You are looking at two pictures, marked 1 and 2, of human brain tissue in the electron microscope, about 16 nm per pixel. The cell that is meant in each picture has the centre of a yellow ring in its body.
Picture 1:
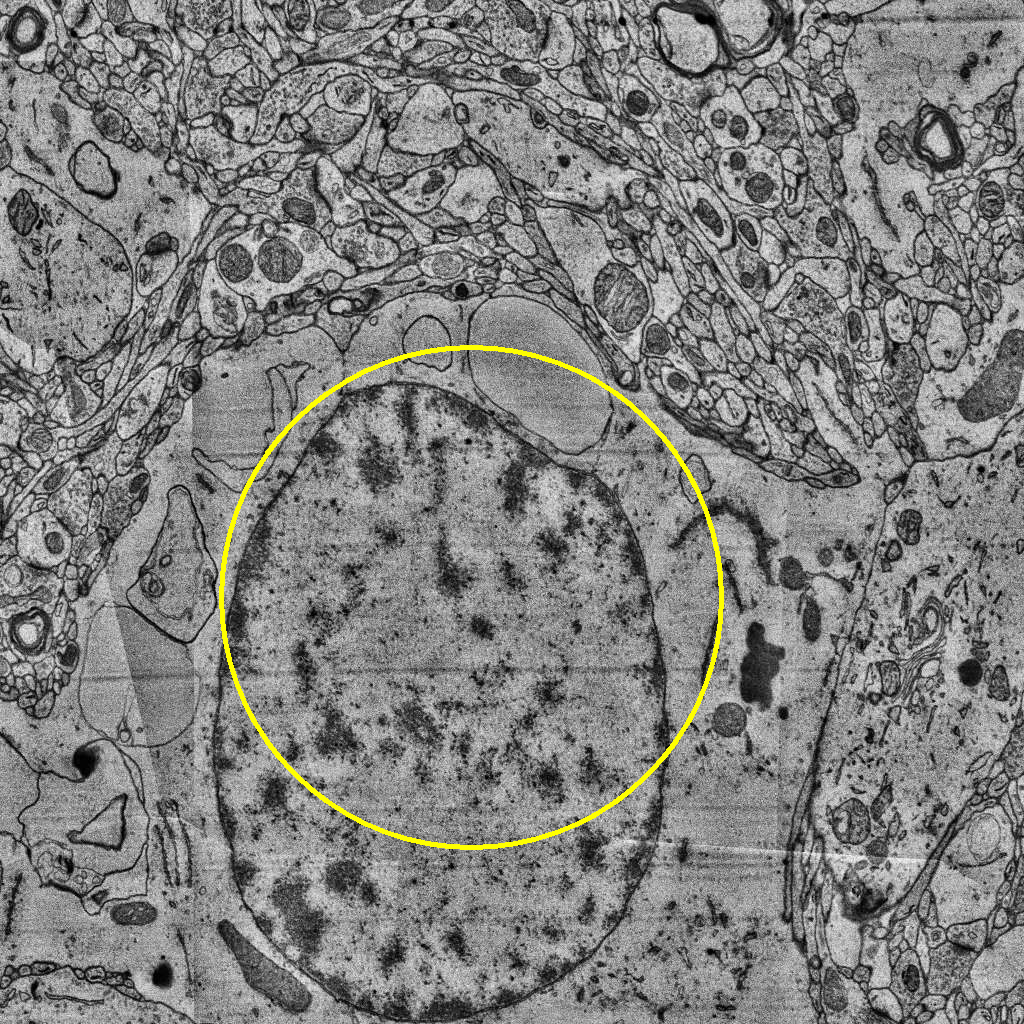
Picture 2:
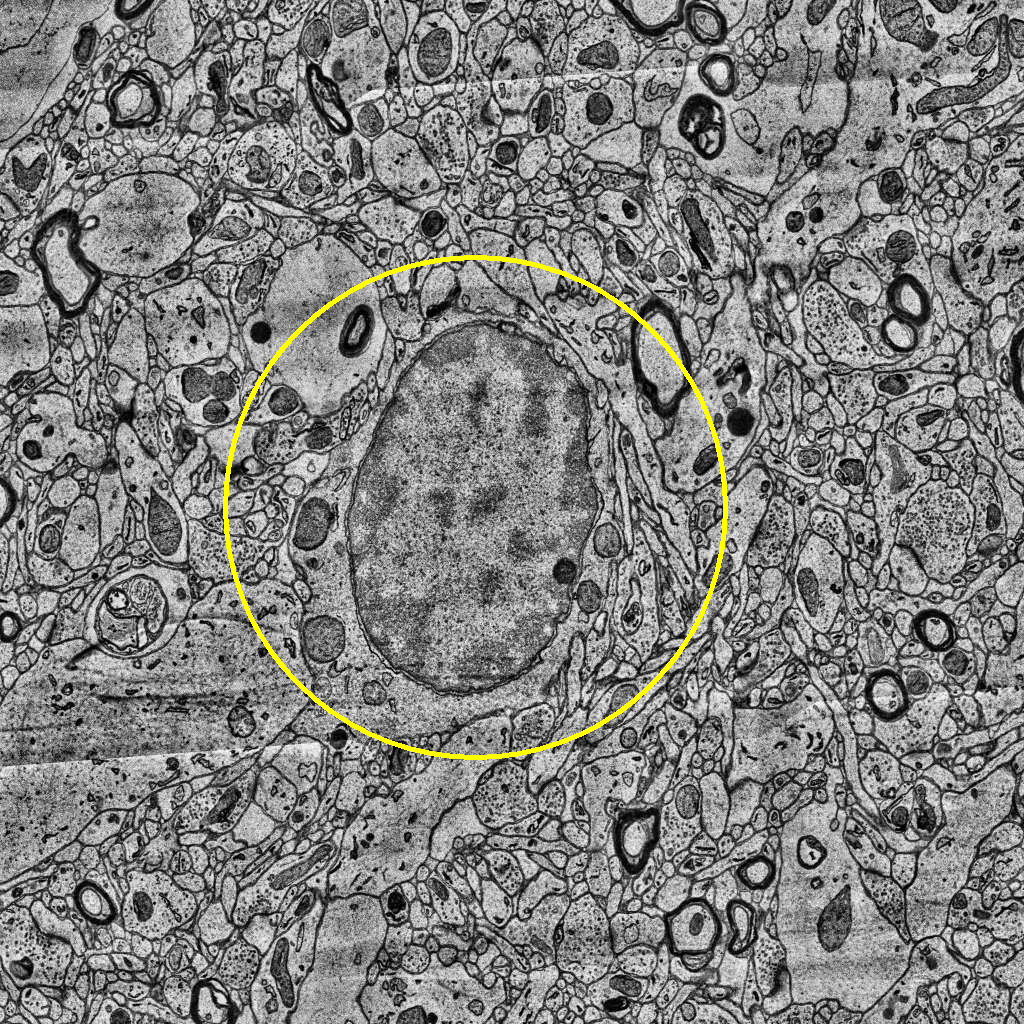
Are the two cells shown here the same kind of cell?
No, the types are not the same, since picture 1 shows an astrocyte and picture 2 an oligodendrocyte.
